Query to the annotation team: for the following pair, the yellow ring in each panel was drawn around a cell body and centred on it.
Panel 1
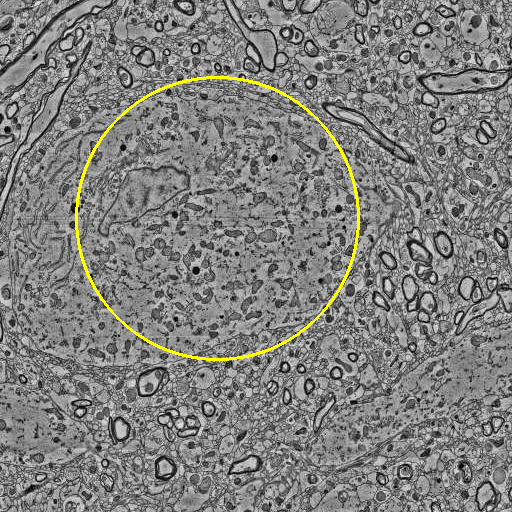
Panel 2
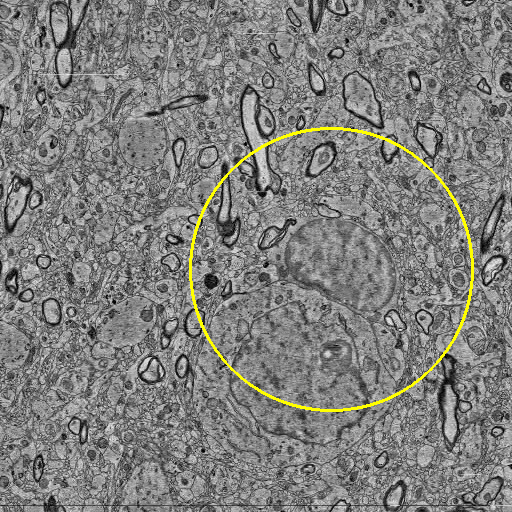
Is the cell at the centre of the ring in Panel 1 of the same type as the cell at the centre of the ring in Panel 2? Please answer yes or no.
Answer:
no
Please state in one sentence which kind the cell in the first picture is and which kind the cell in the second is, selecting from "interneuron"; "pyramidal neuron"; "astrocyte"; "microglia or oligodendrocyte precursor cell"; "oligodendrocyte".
The first ringed cell is a pyramidal neuron, the second ringed cell an oligodendrocyte.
